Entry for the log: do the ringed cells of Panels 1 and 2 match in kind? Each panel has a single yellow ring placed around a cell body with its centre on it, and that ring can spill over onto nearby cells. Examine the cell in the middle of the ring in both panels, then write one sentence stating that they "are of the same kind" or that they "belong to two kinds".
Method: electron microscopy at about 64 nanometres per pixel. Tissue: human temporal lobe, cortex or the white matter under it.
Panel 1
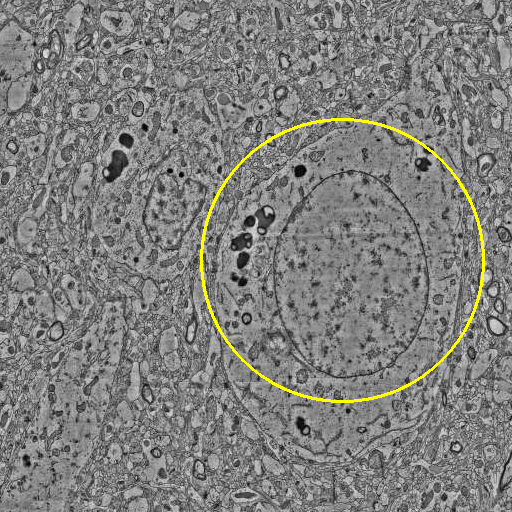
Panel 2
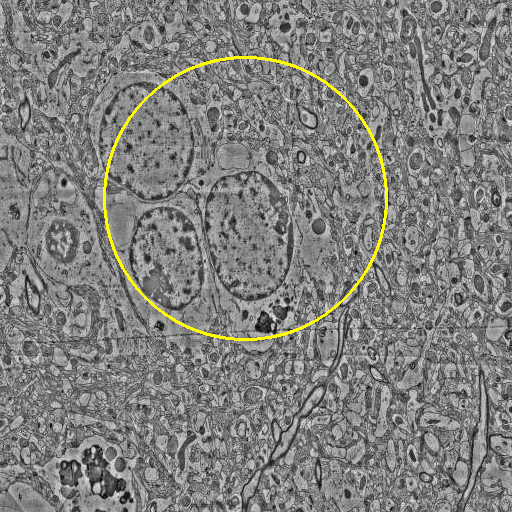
The centre cell of Panel 1's ring and that of Panel 2's ring belong to two kinds.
